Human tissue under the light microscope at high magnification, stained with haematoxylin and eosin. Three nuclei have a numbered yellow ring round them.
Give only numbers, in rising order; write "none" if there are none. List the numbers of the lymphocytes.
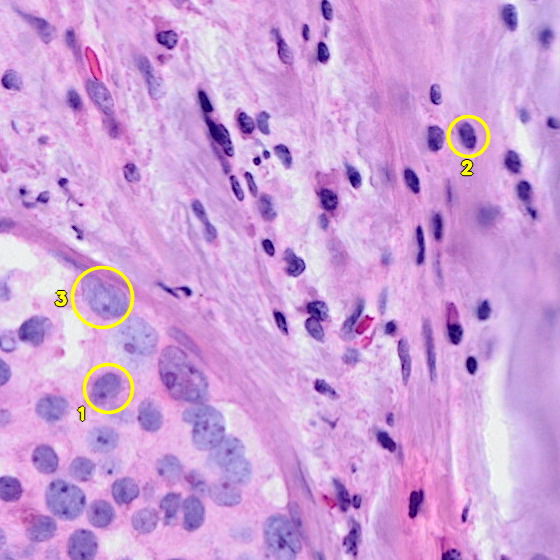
2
